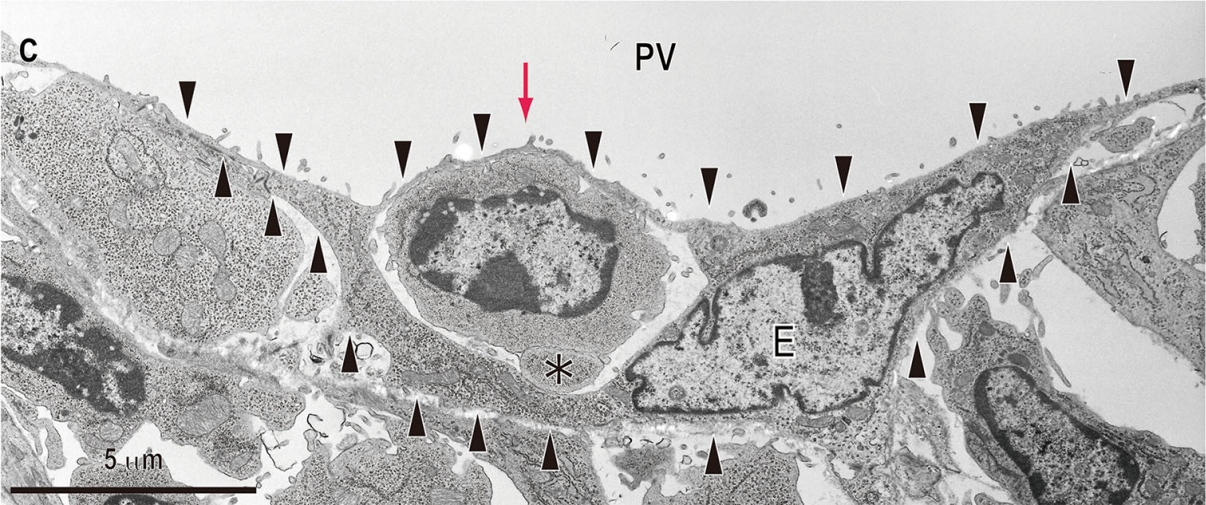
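The wall of a vein is seen at high magnification, with the lumen above lined by thin flattened endothelial cells whose borders are traced by arrowheads. One endothelial cell holds a large irregular, indented nucleus. Beside it, a small round mononuclear cell, probably a lymphocyte, lies enclosed within the endothelial cytoplasm, covered on its luminal side only by a thin endothelial sheet. Its nucleus is large, with coarse dark chromatin clumps, and its cytoplasm forms a narrow rim. A small cytoplasmic protrusion extends from its lower edge toward the deeper tissue. Below lie further cells with mitochondria and fine collagen.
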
